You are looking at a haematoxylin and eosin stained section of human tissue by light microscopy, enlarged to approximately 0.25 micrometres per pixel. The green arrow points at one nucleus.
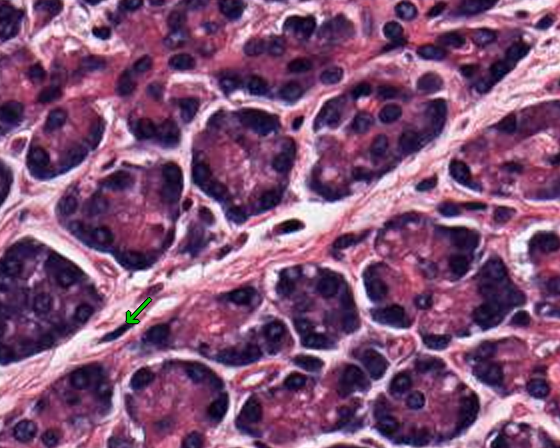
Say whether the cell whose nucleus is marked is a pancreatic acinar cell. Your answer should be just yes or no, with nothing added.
no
